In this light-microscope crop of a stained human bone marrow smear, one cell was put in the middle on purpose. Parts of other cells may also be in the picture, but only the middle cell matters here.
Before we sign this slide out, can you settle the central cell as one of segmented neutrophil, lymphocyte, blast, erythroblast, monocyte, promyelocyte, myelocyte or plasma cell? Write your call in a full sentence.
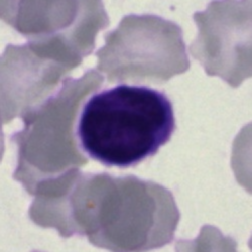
In the central position of this crop, the cell is a lymphocyte.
